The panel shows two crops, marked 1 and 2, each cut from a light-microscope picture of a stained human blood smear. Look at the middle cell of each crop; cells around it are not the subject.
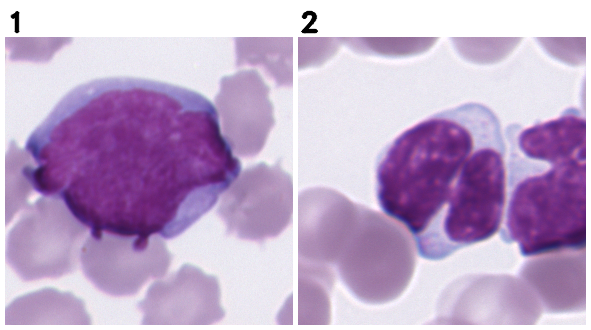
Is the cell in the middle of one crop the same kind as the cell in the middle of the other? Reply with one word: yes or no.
no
